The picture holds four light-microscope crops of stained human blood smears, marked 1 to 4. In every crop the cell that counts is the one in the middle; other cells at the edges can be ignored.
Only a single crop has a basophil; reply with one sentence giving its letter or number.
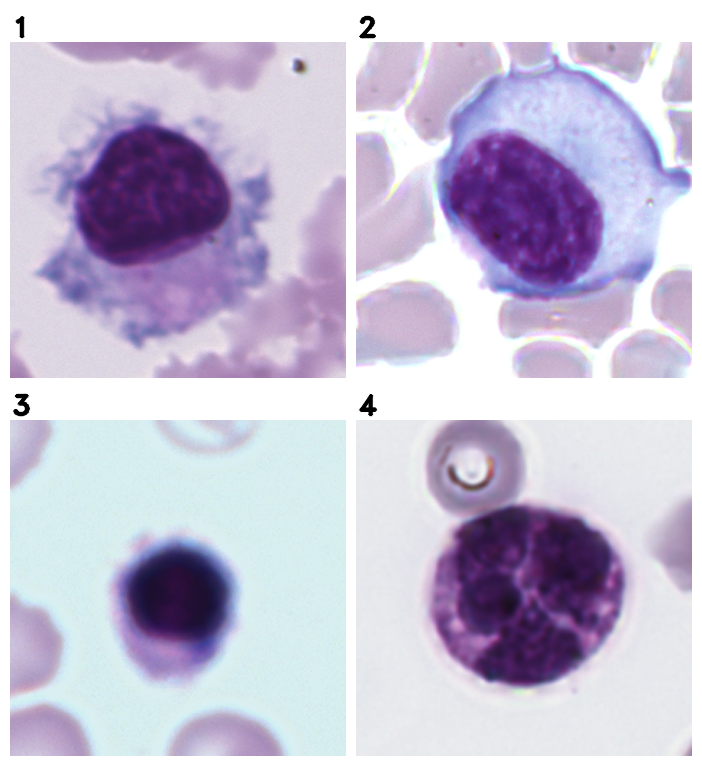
The crop bearing a basophil is crop 4.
